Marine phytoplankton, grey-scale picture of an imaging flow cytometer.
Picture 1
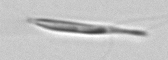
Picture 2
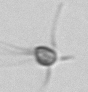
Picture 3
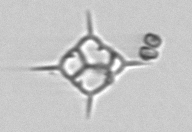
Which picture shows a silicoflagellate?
Picture 3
